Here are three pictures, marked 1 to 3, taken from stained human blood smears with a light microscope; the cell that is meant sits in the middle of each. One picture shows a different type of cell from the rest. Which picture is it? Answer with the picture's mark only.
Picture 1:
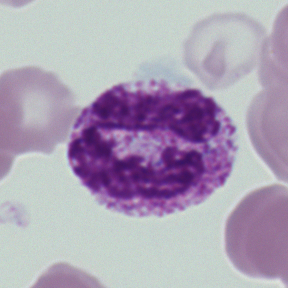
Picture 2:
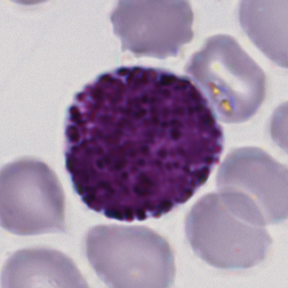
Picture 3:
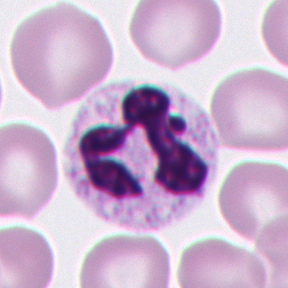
2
